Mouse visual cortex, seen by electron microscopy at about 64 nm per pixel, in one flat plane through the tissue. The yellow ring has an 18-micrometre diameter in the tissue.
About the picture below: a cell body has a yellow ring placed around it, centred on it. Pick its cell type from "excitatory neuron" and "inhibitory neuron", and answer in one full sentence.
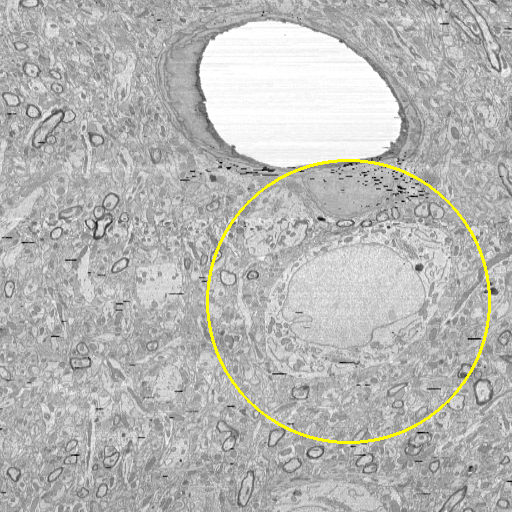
In the picture, an inhibitory neuron is the cell sitting at the centre of the yellow ring.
